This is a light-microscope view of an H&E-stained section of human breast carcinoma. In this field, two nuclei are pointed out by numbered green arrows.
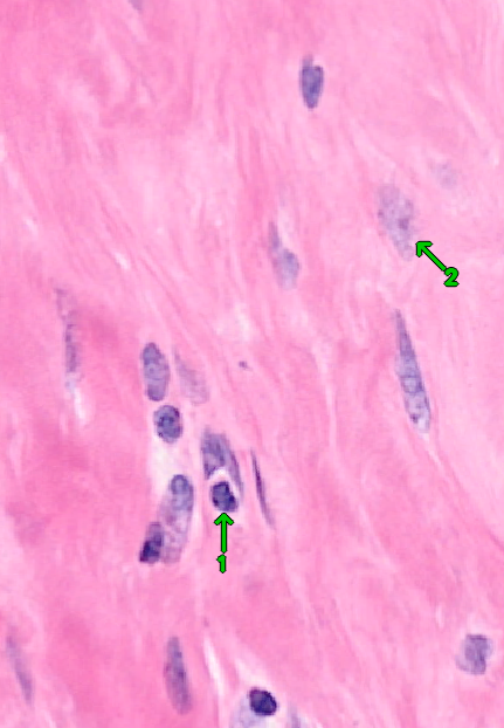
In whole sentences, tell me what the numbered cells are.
Cell 1 is a lymphocyte and cell 2 is a fibroblast.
